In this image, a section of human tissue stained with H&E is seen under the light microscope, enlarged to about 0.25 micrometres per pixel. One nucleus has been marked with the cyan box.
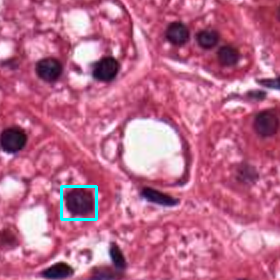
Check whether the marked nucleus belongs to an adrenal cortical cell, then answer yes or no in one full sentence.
Yes, the marked nucleus is that of an adrenal cortical cell.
